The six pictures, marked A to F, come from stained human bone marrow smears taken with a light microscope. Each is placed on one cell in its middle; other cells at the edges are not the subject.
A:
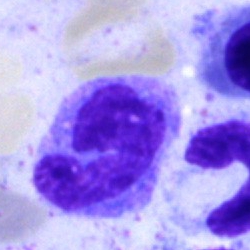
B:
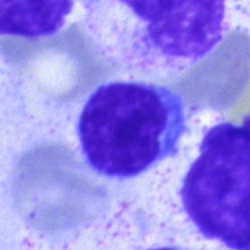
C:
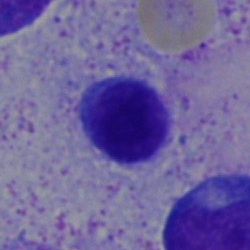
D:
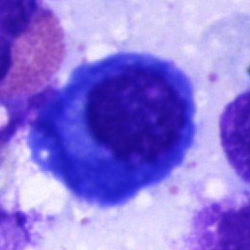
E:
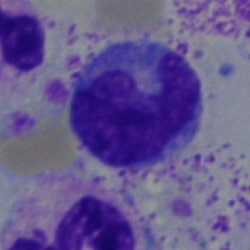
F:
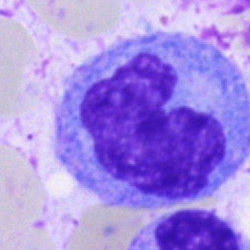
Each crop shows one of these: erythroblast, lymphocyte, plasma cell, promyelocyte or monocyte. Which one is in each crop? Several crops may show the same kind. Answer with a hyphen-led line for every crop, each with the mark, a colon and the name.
- A: monocyte
- B: lymphocyte
- C: lymphocyte
- D: plasma cell
- E: monocyte
- F: monocyte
